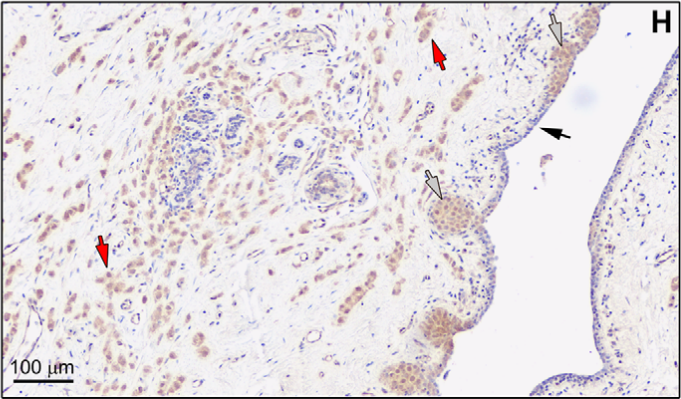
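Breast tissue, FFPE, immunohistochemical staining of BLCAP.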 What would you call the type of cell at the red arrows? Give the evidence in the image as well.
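The arrows point to single cells and small cords scattered through the stroma. These cells are stained brown. That points to this answer: invasive carcinoma cells.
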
